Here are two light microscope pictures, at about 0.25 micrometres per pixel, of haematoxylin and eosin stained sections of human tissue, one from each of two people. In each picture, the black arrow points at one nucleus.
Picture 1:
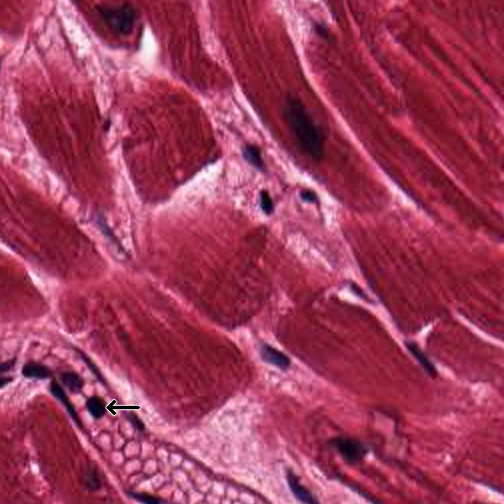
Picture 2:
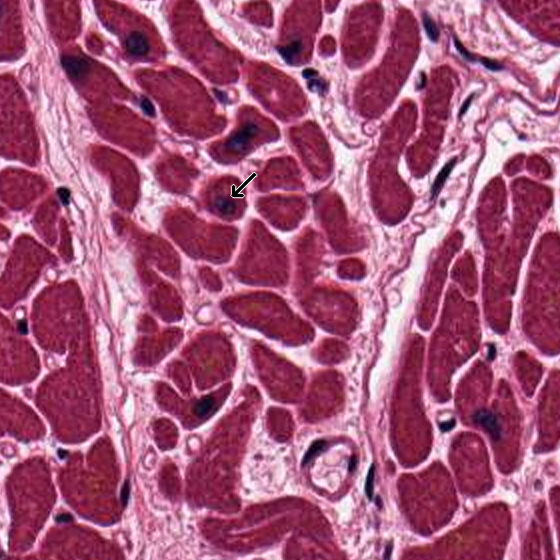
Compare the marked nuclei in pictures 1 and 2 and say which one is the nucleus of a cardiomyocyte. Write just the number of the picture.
2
